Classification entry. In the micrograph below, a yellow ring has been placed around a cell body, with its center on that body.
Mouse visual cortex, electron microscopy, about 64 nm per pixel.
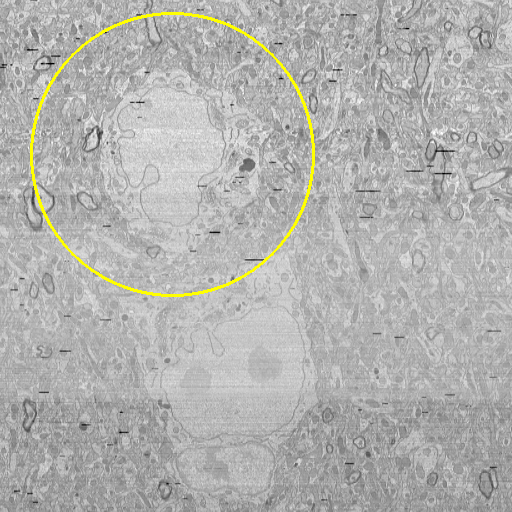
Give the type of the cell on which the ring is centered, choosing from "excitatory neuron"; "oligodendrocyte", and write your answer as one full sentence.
The cell body at the center of the yellow ring belongs to an excitatory neuron.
